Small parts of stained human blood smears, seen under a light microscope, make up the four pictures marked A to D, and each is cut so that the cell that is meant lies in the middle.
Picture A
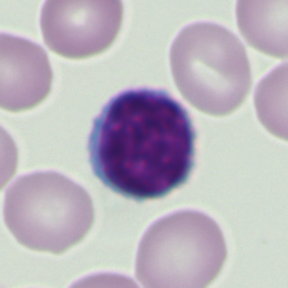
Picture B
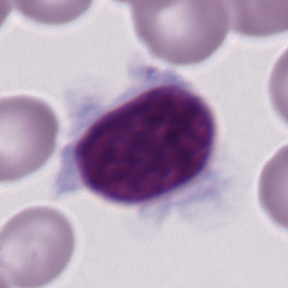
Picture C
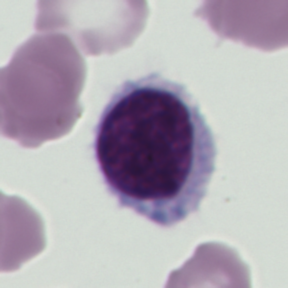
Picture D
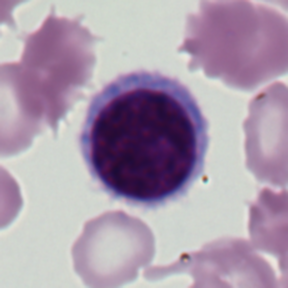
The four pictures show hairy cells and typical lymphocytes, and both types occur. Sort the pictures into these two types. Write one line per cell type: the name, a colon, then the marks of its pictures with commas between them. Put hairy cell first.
hairy cell: B, C, D
typical lymphocyte: A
